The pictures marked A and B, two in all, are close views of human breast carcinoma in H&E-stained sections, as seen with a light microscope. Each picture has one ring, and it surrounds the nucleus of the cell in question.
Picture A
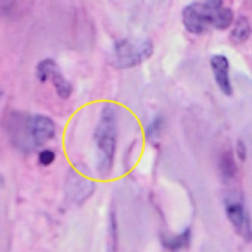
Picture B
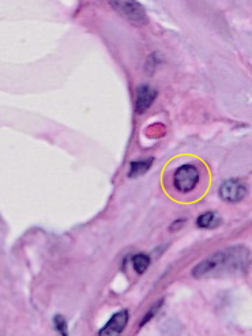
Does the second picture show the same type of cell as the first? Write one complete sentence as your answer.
No, the types are not the same, since picture A shows a fibroblast and picture B a mast cell.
